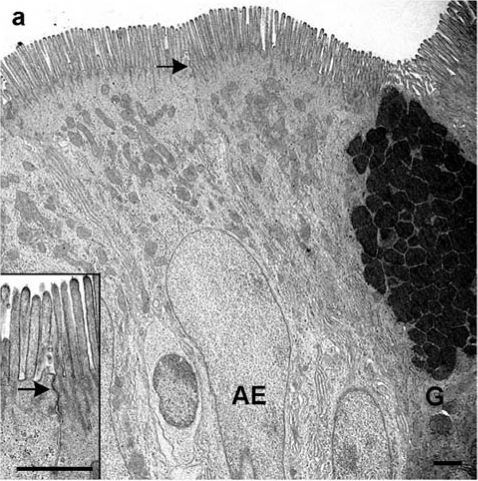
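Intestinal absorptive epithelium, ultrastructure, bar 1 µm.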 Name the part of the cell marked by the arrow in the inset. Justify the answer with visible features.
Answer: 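Tight junctions. The inset arrow points to the apical contact between two neighbouring cells just below the microvilli. The adjoining cell membranes are closely apposed at that point.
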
